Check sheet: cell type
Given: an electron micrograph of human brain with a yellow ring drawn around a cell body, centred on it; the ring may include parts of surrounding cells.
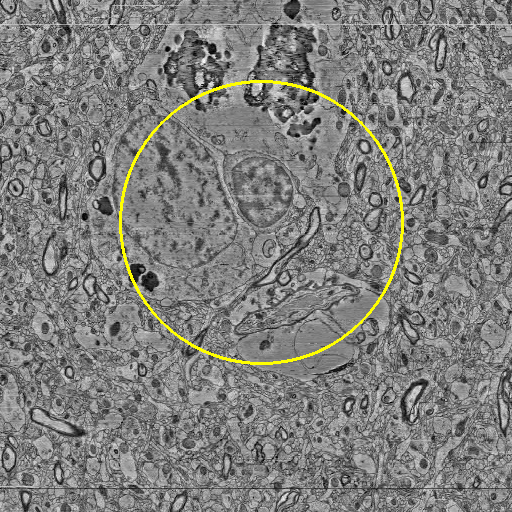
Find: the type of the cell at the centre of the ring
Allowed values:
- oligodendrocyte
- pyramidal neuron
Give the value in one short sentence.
Here the ringed cell is an oligodendrocyte.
